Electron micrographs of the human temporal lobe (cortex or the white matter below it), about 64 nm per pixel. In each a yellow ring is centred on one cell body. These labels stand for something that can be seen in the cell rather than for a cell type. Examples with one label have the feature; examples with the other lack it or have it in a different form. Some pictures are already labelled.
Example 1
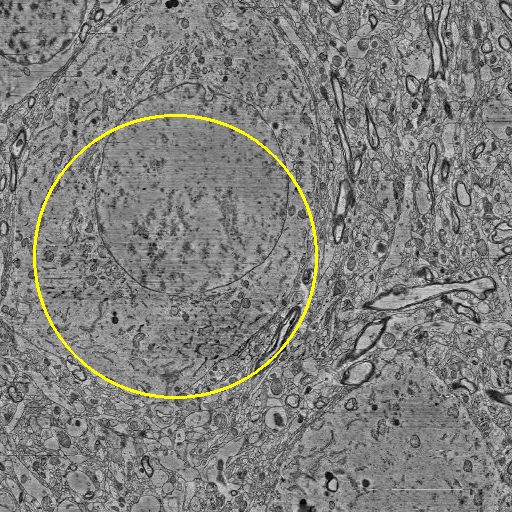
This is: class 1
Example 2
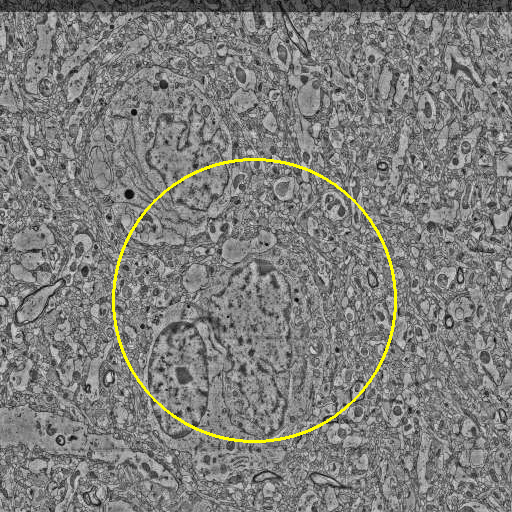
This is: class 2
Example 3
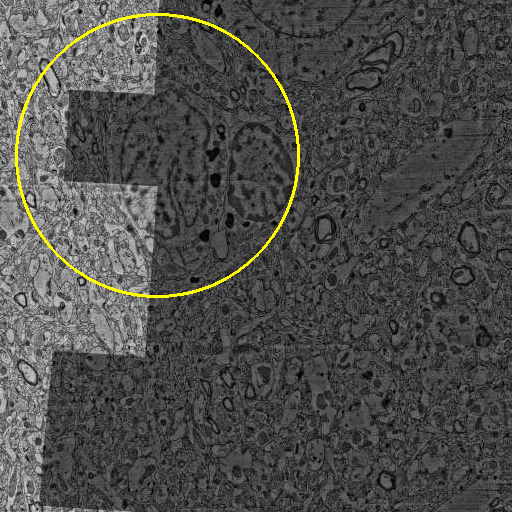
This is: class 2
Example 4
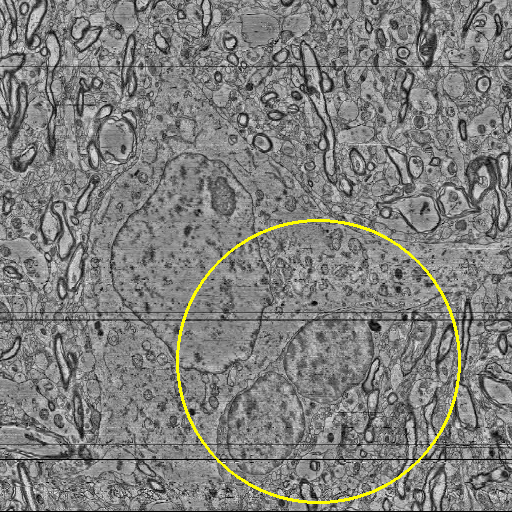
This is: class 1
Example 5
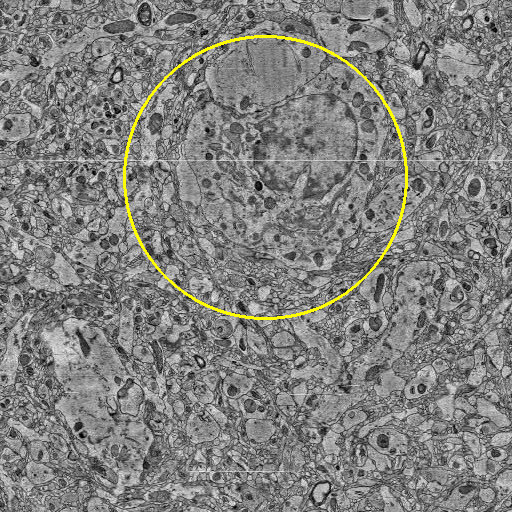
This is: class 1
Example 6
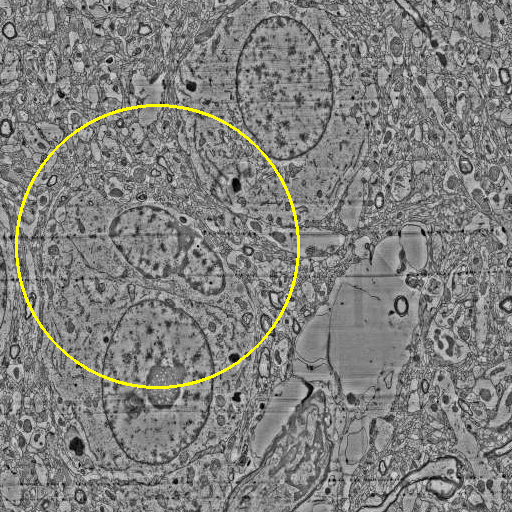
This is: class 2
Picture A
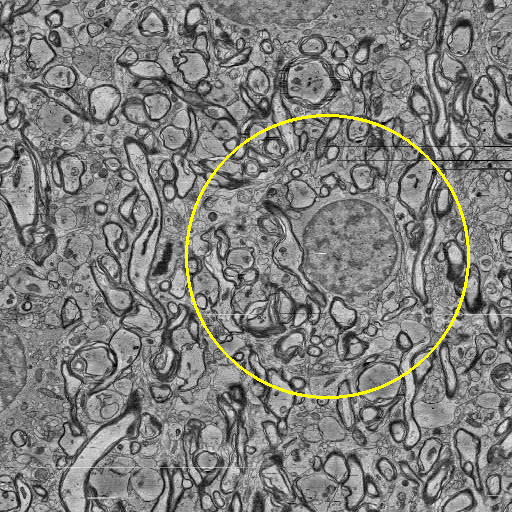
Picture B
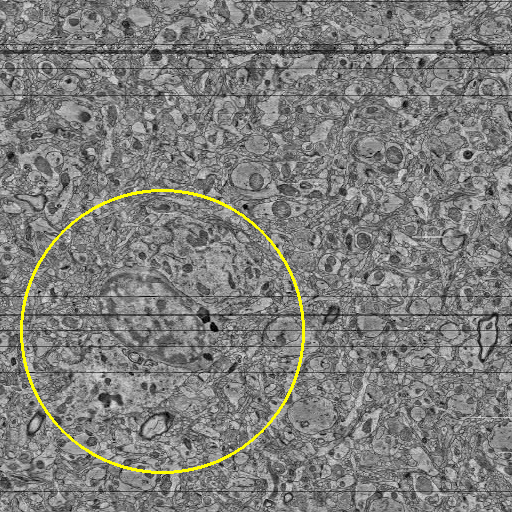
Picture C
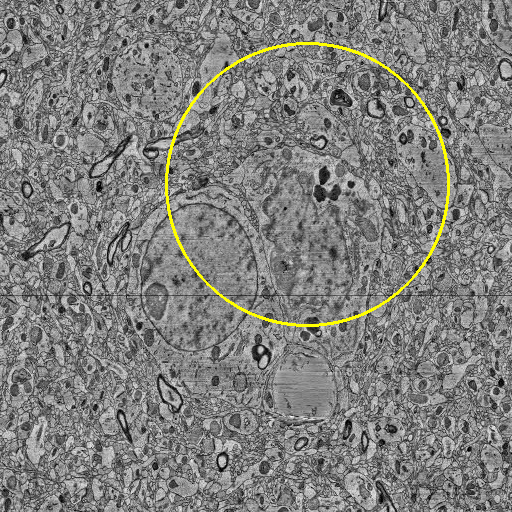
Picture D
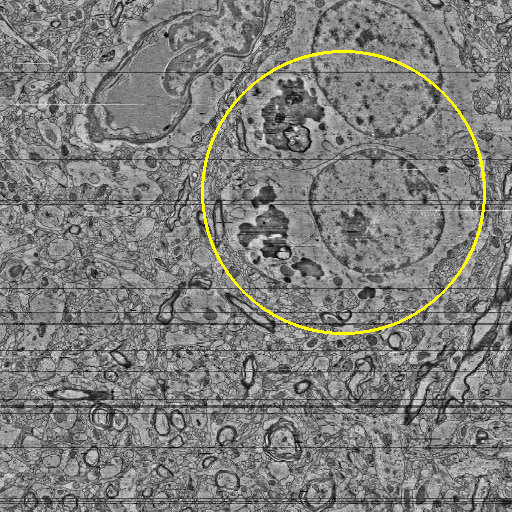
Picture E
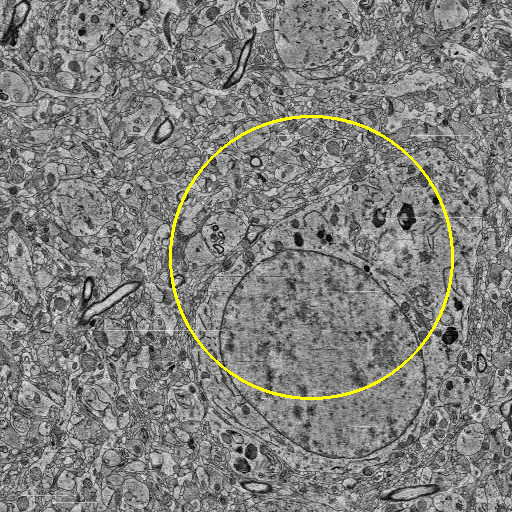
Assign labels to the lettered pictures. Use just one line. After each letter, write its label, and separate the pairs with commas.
A class 1, B class 2, C class 2, D class 1, E class 1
